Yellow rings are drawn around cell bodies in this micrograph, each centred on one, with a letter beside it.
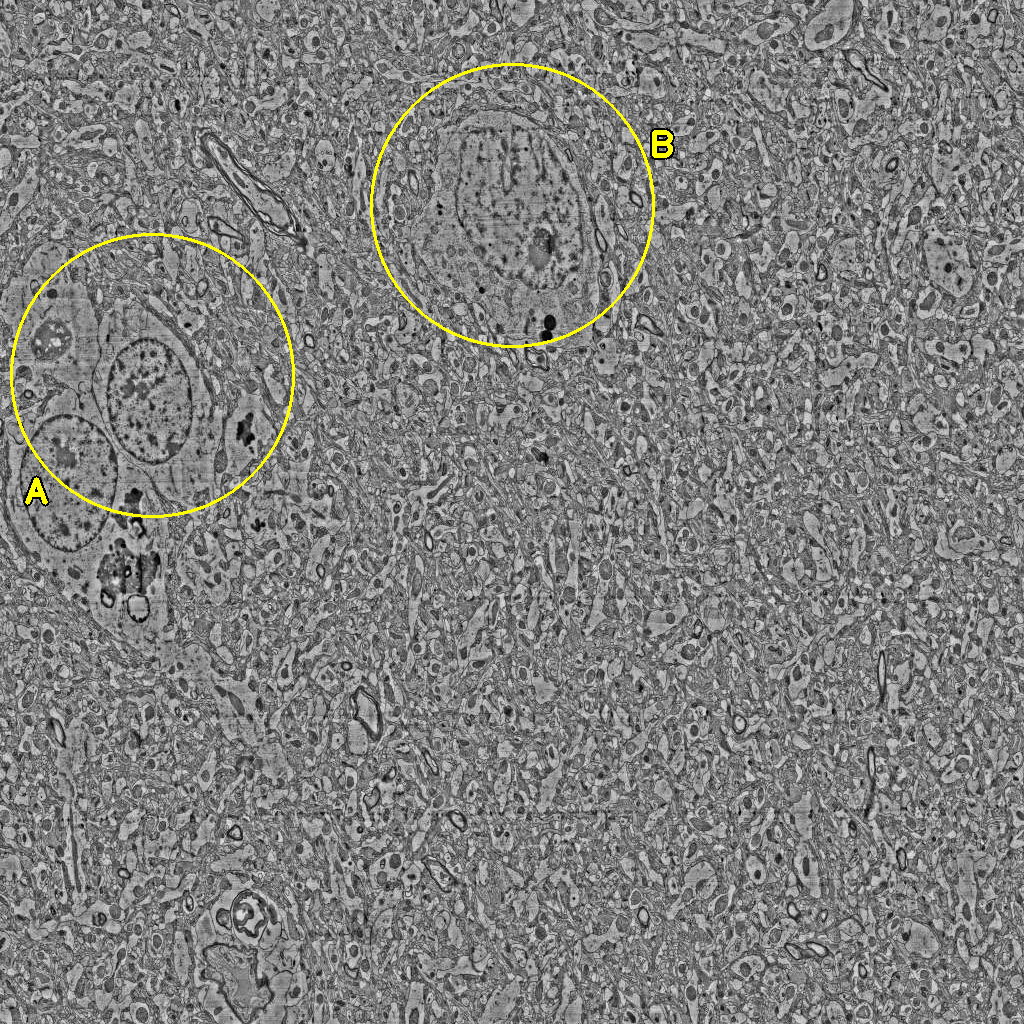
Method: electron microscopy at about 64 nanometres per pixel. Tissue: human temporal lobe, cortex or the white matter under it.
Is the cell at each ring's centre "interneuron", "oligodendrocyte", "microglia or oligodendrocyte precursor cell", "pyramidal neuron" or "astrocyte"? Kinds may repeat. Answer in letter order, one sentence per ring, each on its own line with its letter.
In ring A, the cell at the centre is an astrocyte.
In ring B, the cell at the centre is an interneuron.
